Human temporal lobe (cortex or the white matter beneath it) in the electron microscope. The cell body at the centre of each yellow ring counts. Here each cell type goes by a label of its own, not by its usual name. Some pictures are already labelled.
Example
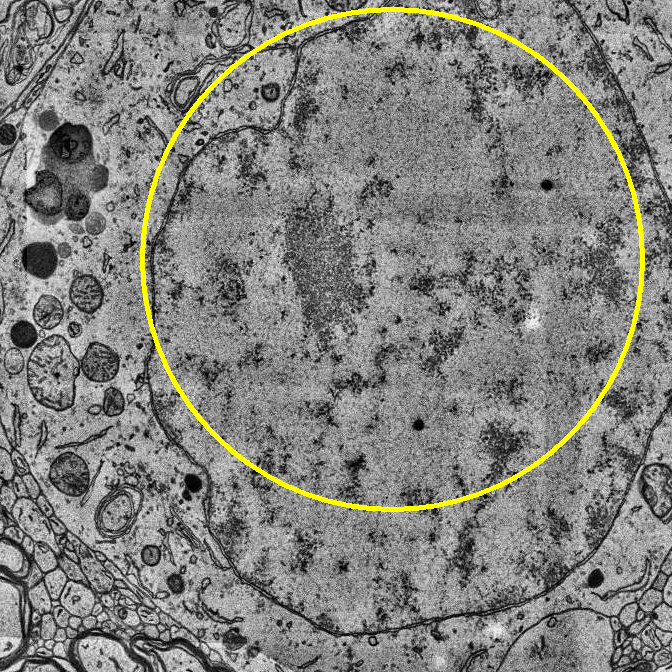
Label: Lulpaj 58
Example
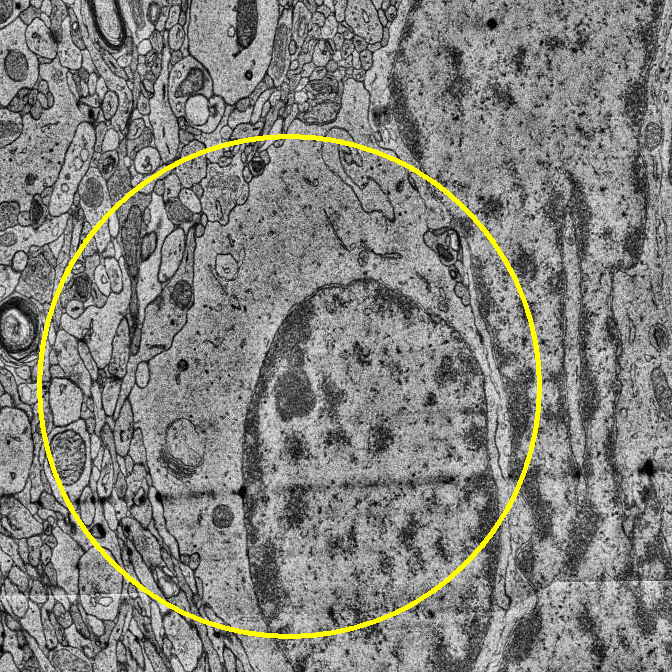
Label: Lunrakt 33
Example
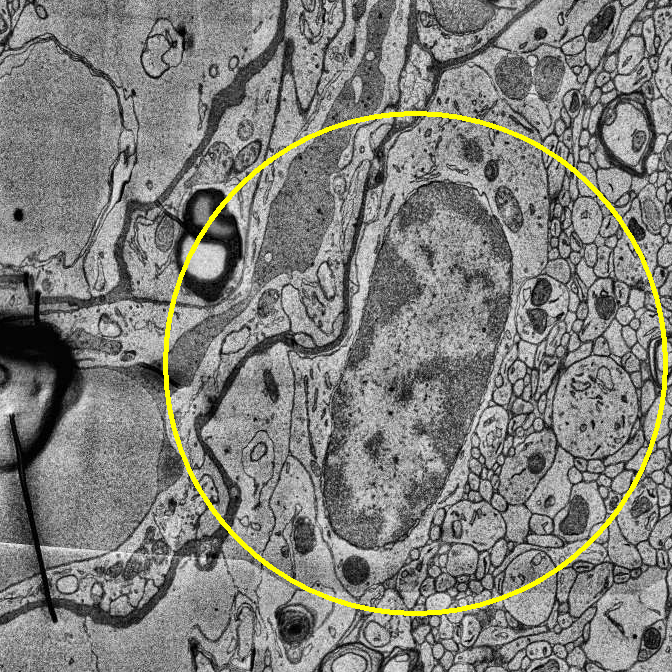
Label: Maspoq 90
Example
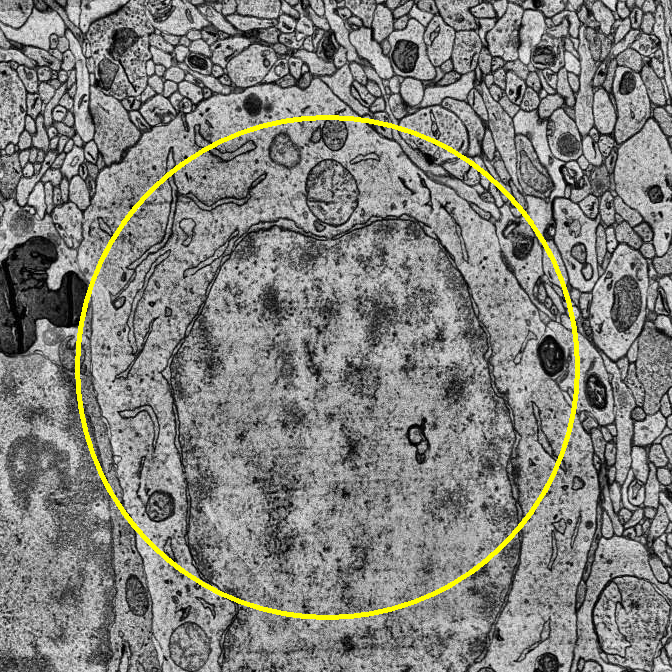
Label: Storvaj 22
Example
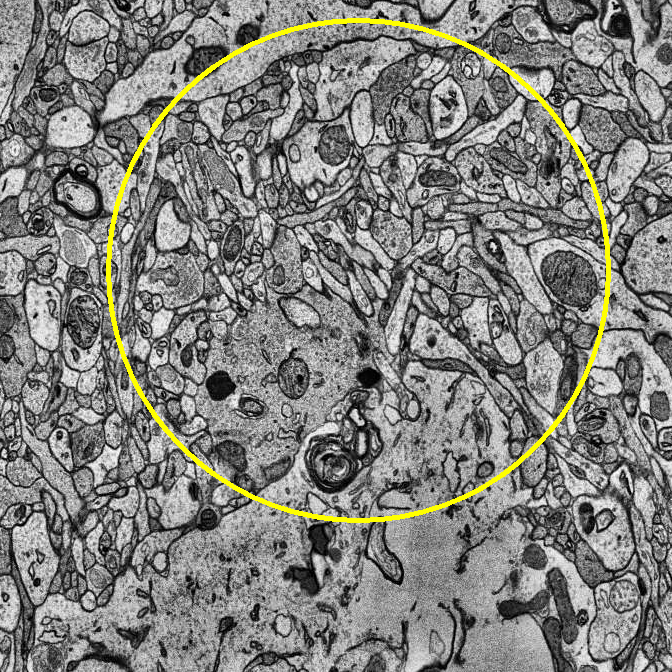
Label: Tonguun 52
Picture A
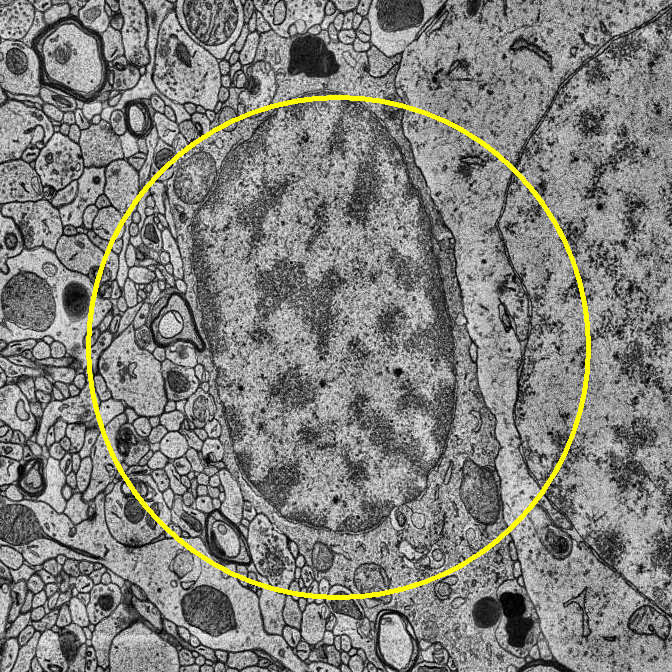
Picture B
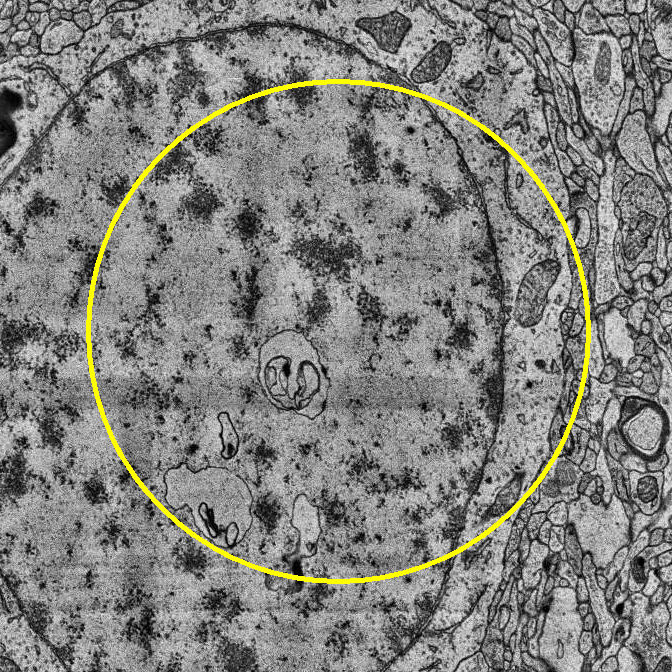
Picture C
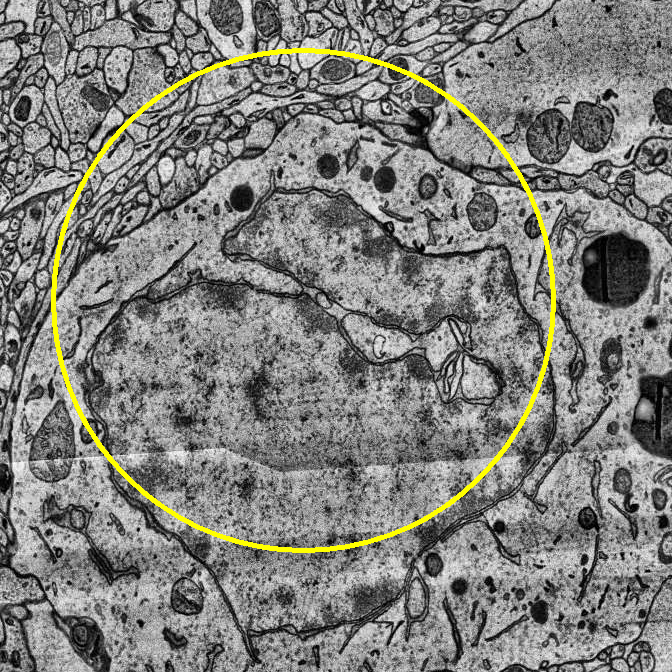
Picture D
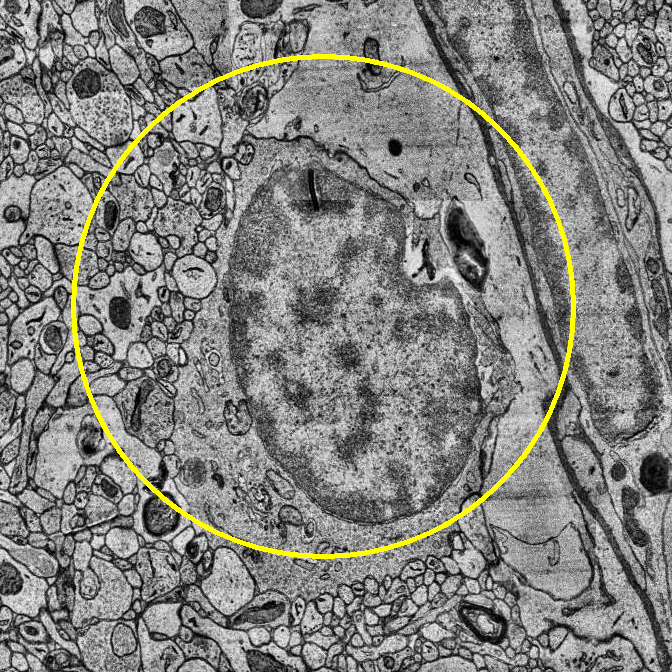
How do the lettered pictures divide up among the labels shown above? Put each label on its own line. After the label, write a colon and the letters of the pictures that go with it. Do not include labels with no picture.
Lulpaj 58: B
Storvaj 22: C
Tonguun 52: A, D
